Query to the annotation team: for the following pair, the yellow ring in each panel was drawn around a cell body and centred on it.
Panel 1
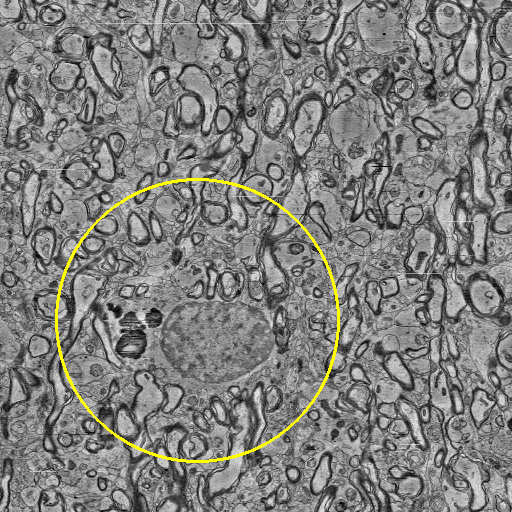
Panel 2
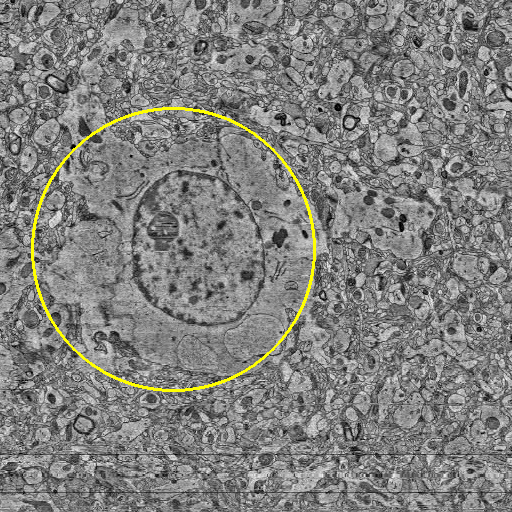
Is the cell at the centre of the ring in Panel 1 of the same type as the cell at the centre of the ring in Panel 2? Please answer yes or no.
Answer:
no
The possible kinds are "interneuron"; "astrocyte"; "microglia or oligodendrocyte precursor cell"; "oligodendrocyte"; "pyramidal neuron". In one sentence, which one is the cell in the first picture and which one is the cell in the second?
The cell ringed in the second picture is an astrocyte, whereas the one ringed in the first is an oligodendrocyte.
